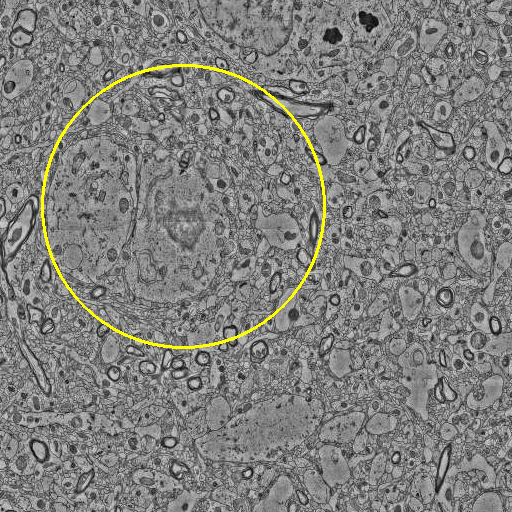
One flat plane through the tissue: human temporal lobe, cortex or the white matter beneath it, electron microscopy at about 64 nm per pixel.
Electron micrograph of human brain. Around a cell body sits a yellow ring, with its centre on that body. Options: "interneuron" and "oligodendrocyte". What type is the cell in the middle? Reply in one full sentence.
The cell sitting at the centre of the yellow ring is an interneuron.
